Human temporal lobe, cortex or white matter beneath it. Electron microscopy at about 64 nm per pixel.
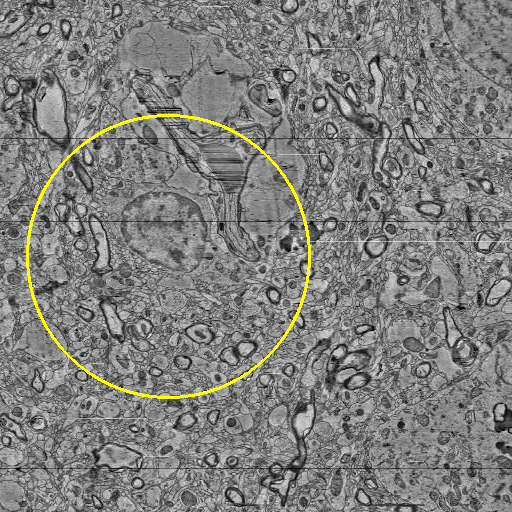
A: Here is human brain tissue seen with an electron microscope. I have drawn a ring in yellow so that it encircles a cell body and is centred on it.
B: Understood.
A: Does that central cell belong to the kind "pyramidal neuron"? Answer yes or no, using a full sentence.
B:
No, the central cell inside your yellow ring belongs to another kind.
